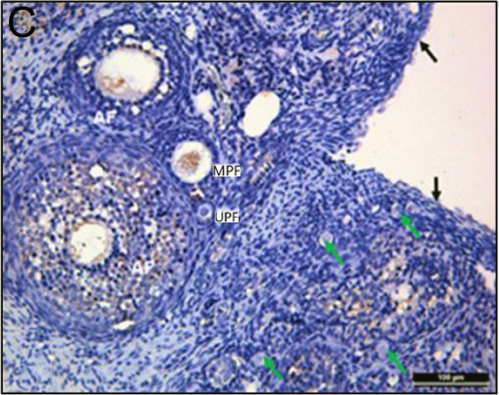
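Ovarian cortex with follicles at several stages side by side. Two large follicles with many layers of granulosa cells surround pale central spaces; one shows brown granular staining among its cells. A smaller follicle with a few cell layers holds a brown-tinged oocyte. Small follicles with a single oocyte and flat surrounding cells sit in the outer cortex just beneath the surface. Stroma between them consists of densely packed spindle cells with blue nuclei and patches of faint brown. The surface is covered by a thin flattened cell layer.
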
